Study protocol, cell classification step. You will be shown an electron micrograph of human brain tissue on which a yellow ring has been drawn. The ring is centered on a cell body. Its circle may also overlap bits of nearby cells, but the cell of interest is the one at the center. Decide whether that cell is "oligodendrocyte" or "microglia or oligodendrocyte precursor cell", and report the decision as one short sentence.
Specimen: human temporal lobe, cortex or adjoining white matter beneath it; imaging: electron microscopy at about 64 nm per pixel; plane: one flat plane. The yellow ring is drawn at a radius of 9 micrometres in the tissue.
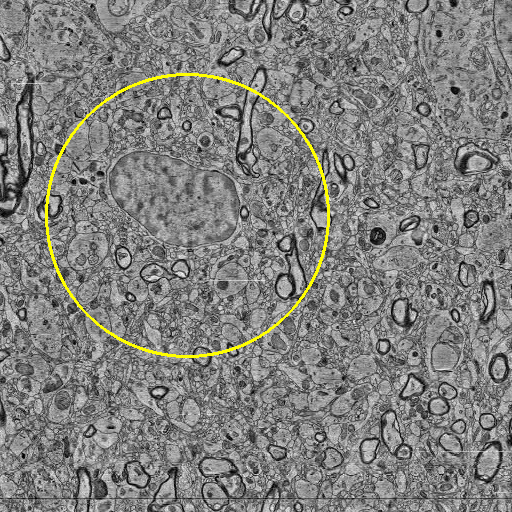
The marked cell is a microglial cell or oligodendrocyte precursor cell.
